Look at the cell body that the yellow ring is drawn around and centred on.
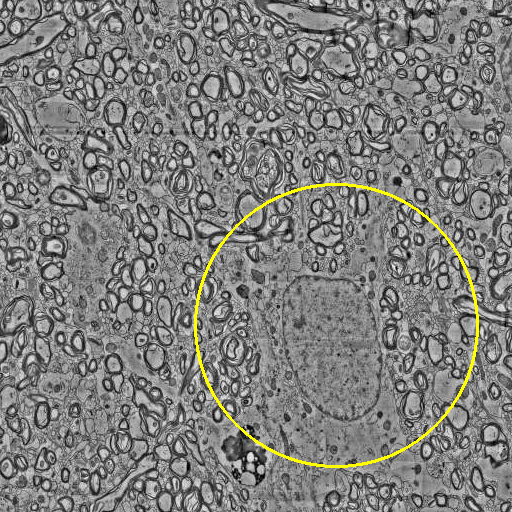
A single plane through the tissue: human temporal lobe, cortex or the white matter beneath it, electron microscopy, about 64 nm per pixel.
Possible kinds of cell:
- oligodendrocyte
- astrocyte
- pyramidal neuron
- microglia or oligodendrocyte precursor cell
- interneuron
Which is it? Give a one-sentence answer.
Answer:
The centred cell body is that of an astrocyte.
